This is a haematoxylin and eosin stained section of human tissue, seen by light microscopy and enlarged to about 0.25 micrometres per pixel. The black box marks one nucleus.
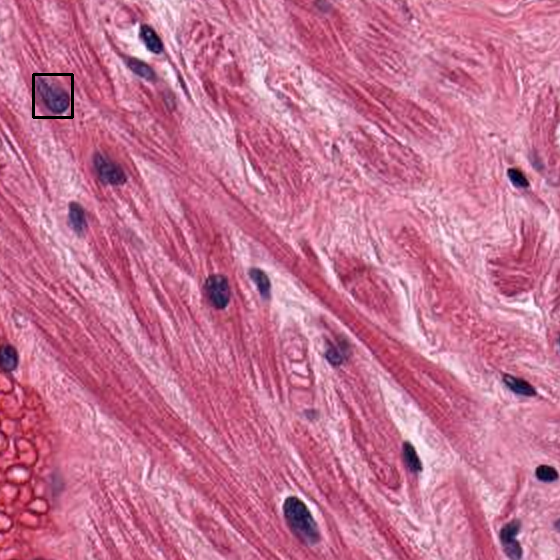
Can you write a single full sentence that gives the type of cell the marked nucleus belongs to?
Marked in this picture is the nucleus of a cardiomyocyte.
